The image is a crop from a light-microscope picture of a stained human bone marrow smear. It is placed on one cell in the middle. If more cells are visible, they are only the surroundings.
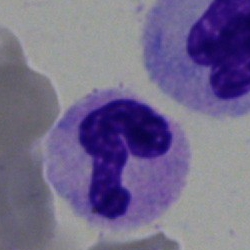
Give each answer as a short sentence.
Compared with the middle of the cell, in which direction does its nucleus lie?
The nucleus sits off-centre, toward the top.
